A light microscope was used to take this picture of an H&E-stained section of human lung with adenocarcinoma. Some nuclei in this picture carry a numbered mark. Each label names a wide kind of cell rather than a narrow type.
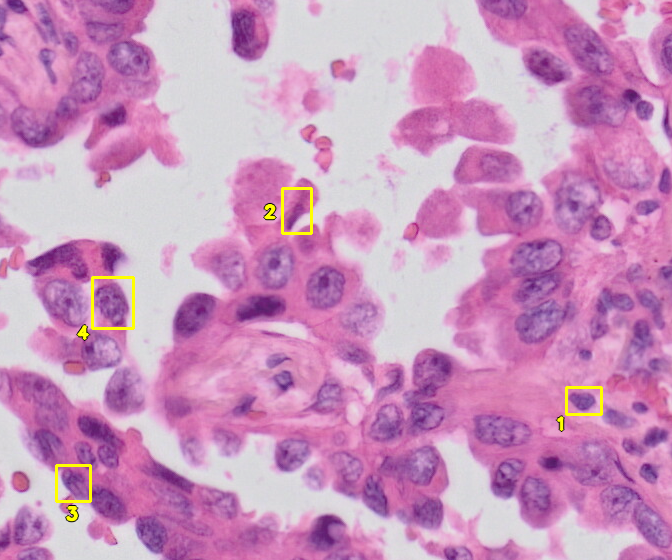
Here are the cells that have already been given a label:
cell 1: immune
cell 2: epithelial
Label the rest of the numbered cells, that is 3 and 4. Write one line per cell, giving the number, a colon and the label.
3: epithelial
4: epithelial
